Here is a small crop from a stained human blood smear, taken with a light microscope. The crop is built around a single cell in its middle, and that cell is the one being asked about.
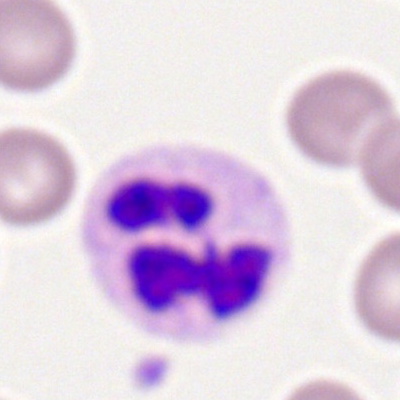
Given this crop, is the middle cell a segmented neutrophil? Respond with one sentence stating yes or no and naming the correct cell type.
Yes, the cell in the centre is a segmented neutrophil.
